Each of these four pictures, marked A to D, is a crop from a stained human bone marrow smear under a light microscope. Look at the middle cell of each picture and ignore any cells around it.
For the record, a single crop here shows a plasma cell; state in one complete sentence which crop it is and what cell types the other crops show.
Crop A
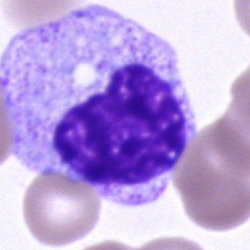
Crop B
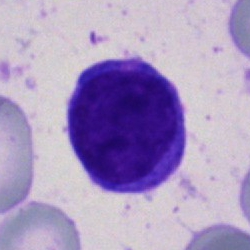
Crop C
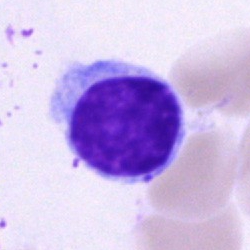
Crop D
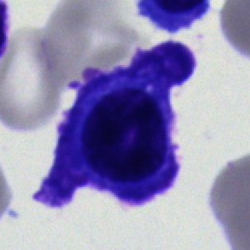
In crop D, the cell at the centre is a plasma cell, while crop A is a myelocyte, crop B is a blast and crop C is a lymphocyte.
